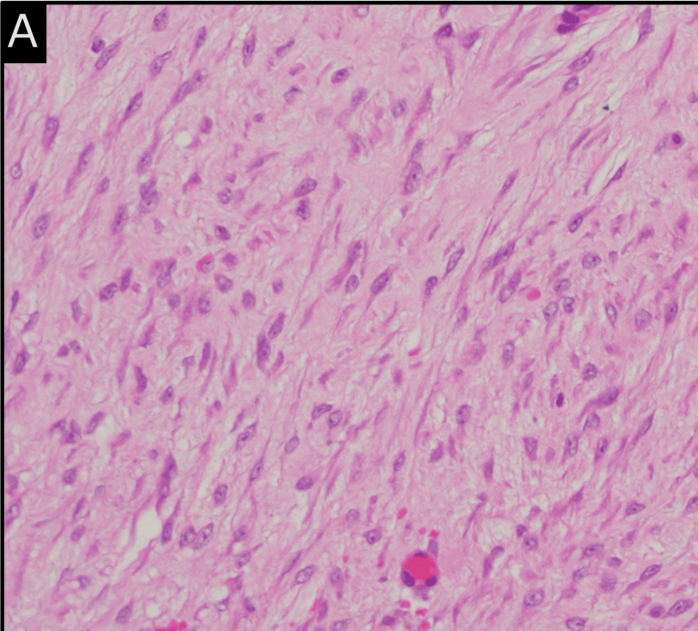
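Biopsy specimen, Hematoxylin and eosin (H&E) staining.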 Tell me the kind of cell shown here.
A: Spindle-shaped cells.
